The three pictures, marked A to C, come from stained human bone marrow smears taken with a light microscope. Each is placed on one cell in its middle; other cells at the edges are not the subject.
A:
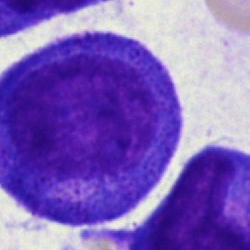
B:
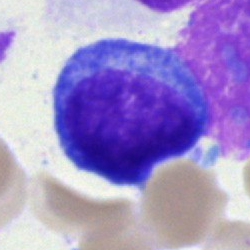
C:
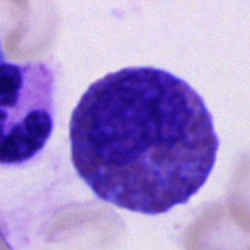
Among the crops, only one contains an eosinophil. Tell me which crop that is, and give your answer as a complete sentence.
The crop that has an eosinophil in the middle is crop C.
